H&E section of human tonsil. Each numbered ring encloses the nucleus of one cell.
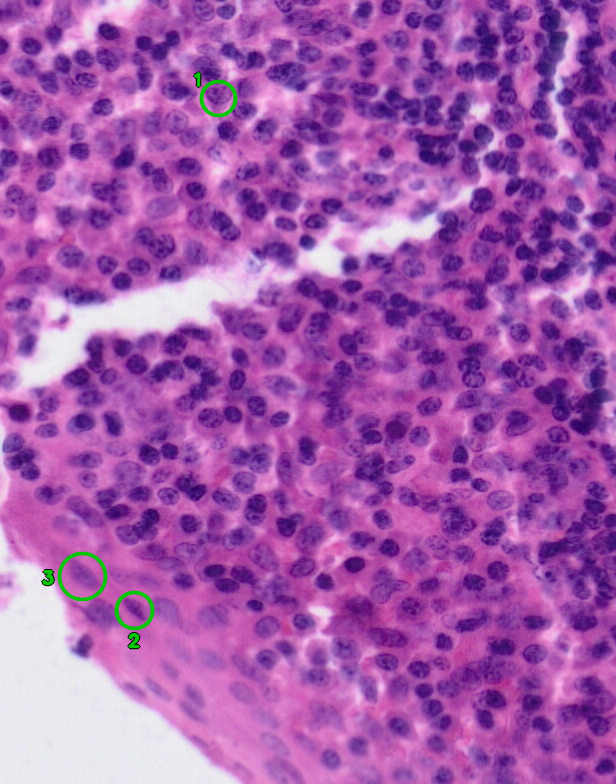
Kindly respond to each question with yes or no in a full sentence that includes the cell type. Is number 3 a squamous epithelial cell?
Yes, regarding cell number 3, it is a squamous epithelial cell.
